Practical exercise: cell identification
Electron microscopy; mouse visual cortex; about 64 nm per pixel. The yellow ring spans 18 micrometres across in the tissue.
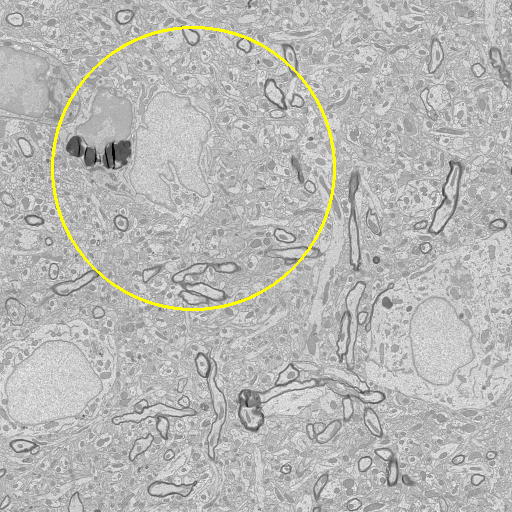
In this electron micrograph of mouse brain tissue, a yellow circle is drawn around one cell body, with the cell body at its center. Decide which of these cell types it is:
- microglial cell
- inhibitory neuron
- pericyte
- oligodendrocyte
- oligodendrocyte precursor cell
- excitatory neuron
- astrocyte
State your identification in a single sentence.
The ringed cell is an oligodendrocyte precursor cell.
